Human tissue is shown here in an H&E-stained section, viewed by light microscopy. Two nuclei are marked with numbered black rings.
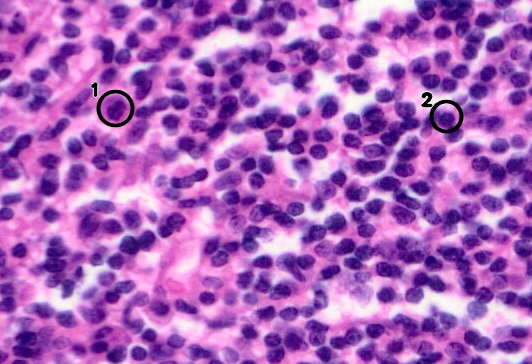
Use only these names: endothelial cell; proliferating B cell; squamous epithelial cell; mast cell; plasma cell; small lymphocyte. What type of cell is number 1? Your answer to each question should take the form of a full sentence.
The cell that is numbered 1 is a plasma cell.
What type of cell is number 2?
The expected answer is that cell 2 is a small lymphocyte.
